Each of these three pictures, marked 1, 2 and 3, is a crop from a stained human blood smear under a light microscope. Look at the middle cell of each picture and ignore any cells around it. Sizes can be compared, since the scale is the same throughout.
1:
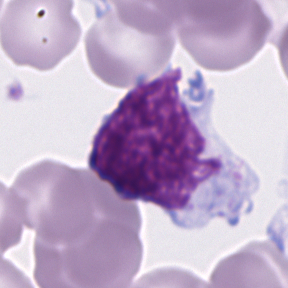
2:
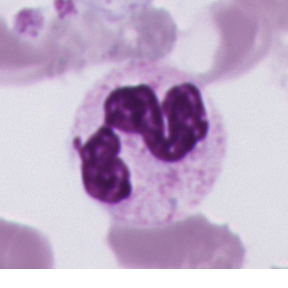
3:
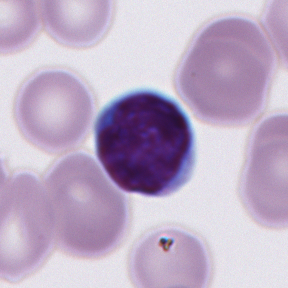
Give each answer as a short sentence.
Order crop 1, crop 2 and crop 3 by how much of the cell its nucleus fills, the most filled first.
From the most filled to the least, the order is 3, 1, 2.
